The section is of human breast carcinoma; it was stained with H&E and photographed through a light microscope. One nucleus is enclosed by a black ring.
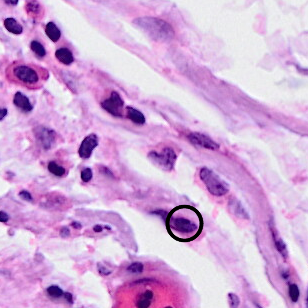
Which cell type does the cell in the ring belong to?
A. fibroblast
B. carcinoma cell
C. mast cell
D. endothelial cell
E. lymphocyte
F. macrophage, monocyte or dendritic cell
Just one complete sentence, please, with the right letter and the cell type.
Option C is accurate, for the cell in the ring is a mast cell.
